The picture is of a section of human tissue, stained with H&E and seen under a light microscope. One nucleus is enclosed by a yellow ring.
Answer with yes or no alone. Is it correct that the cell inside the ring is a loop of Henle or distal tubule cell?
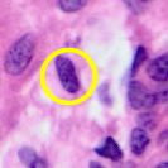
no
